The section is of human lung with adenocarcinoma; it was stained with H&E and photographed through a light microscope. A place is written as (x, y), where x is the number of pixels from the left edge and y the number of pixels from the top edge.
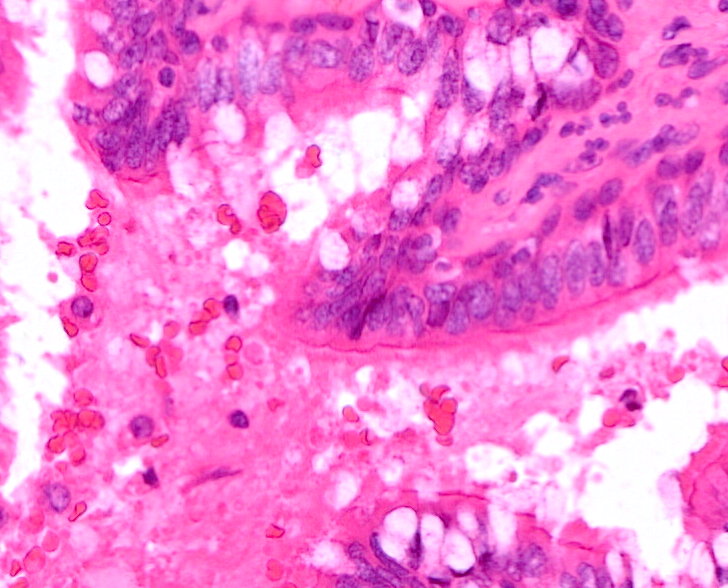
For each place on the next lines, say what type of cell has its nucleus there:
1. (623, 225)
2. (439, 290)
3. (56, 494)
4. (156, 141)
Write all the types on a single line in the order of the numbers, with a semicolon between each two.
ciliated epithelial cell; ciliated epithelial cell; macrophage or monocyte; ciliated epithelial cell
